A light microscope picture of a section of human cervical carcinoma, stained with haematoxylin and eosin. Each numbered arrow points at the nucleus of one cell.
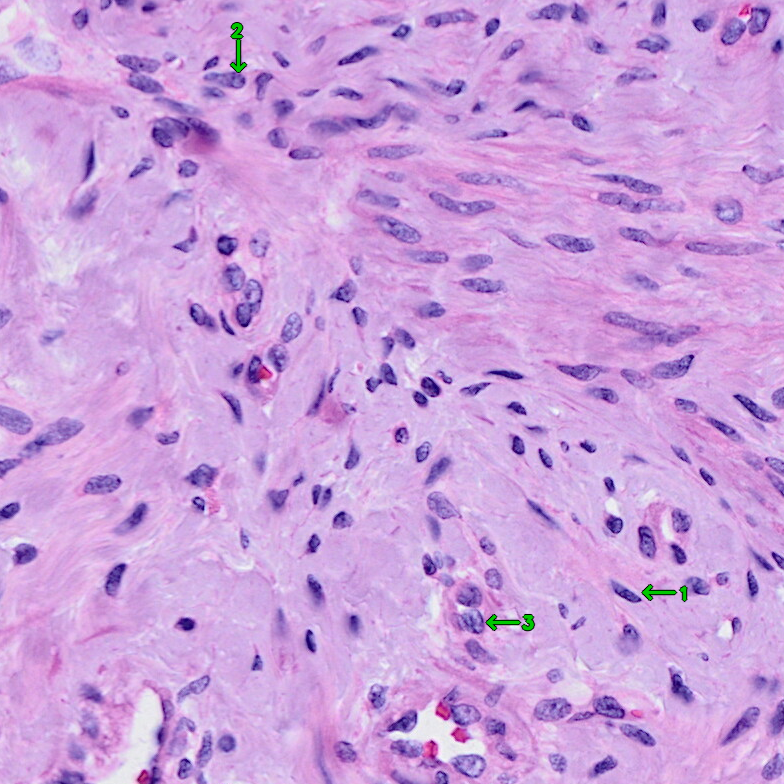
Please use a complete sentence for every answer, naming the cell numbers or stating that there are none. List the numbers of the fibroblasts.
The cells carrying labels 1 and 2 are fibroblasts.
